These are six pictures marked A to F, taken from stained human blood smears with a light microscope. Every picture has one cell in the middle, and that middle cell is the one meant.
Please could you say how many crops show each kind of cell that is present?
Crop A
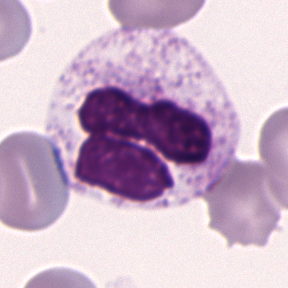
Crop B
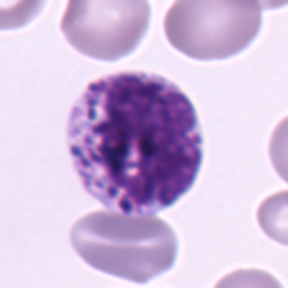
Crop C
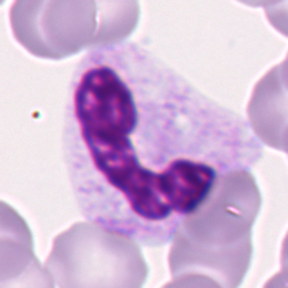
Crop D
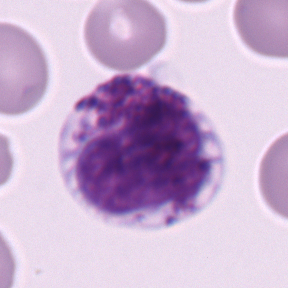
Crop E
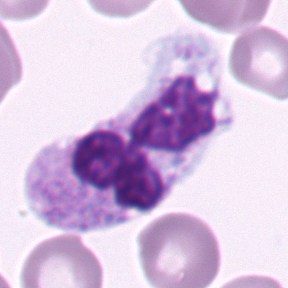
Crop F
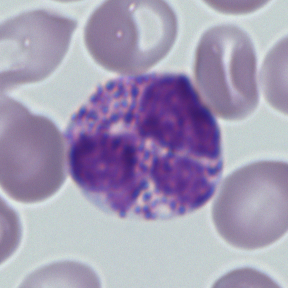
segmented neutrophil: 3
basophil: 3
